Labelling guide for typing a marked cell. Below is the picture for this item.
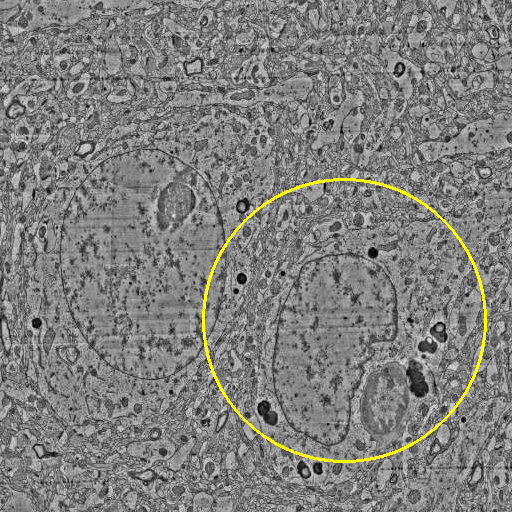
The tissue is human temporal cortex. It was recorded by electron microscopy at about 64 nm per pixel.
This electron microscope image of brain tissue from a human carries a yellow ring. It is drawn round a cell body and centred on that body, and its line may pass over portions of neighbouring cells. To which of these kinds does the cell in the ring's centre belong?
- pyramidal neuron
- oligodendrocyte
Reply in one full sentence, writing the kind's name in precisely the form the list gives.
Here we have a pyramidal neuron at the centre of the yellow ring in the picture.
